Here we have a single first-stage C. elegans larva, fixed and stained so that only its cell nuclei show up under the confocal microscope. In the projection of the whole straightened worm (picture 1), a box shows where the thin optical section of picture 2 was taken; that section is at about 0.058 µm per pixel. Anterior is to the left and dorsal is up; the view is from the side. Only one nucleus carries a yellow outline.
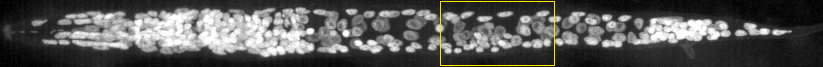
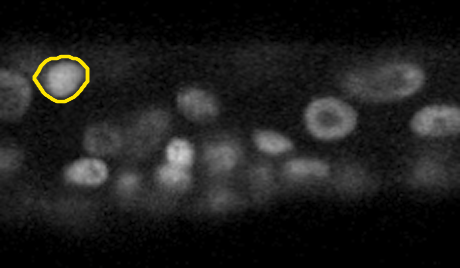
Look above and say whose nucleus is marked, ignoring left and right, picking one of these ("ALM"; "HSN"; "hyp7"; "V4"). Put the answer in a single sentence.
It is the nucleus of ALM, a neuron.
